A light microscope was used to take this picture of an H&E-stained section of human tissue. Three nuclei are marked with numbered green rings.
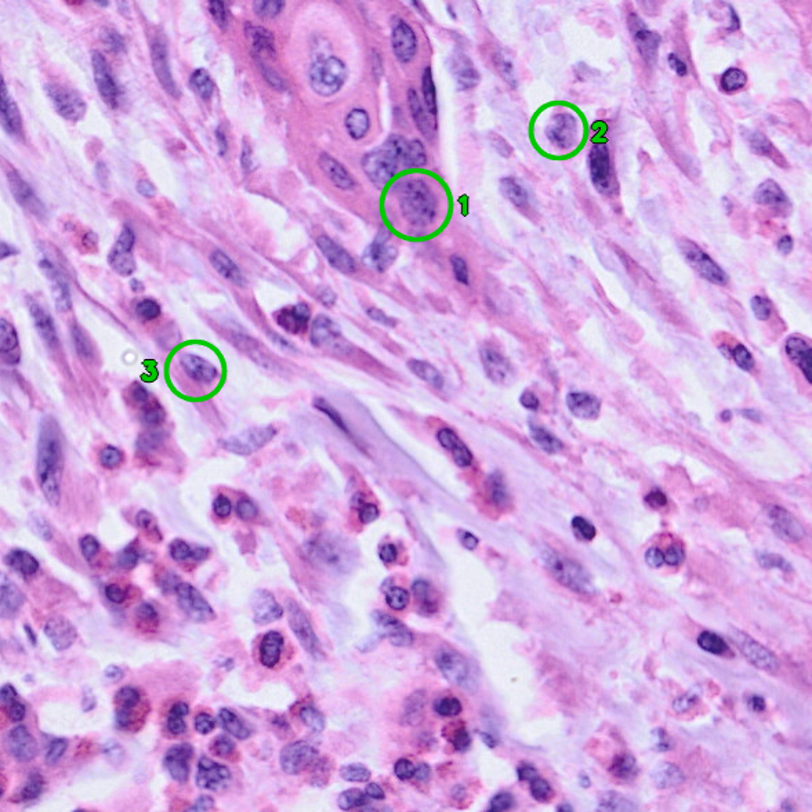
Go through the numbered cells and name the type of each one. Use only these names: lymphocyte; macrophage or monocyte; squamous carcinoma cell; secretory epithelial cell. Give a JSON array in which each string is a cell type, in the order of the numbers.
["squamous carcinoma cell", "macrophage or monocyte", "macrophage or monocyte"]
